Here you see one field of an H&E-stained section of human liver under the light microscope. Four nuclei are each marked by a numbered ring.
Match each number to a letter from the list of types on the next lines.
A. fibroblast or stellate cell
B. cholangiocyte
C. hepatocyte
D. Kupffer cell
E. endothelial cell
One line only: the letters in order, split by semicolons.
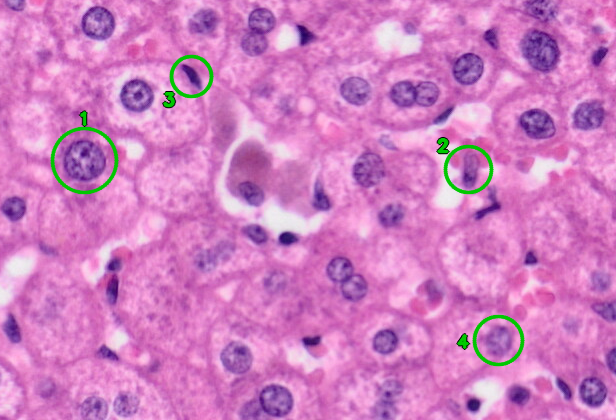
C; D; A; C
